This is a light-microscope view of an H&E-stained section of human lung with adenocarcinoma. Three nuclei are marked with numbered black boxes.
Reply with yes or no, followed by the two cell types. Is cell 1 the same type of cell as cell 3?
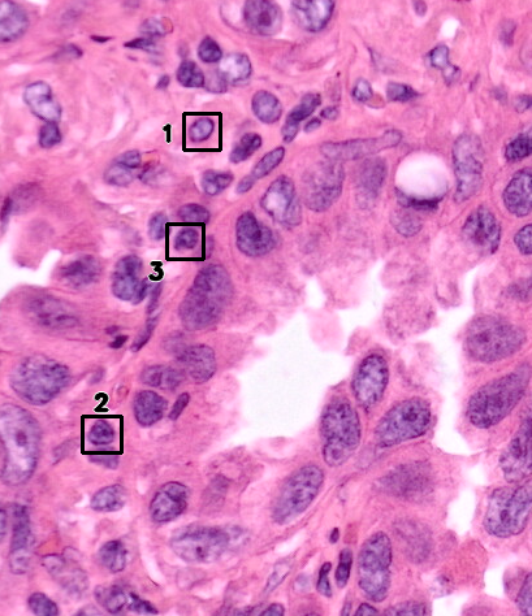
No, cell 1 is a mast cell and cell 3 is a lymphocyte.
